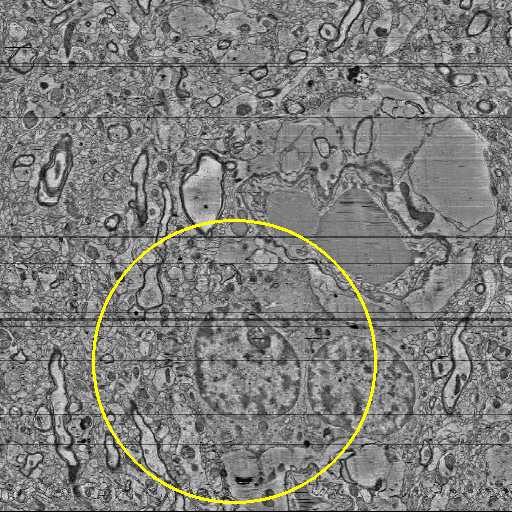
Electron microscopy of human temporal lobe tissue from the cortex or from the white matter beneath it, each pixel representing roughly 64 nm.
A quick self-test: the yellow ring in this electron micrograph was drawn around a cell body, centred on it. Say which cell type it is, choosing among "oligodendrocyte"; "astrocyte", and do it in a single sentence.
The yellow-ringed cell is an oligodendrocyte.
